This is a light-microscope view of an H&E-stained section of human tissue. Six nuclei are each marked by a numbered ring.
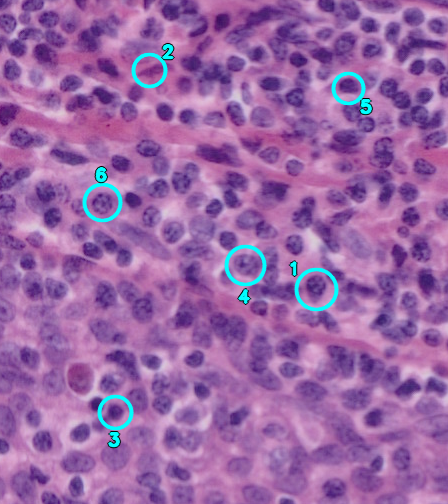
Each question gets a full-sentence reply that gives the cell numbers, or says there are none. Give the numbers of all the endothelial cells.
The nucleus labelled 2 alone belongs to an endothelial cell; the other marked nuclei do not.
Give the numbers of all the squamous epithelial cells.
Response: cell 3 is a squamous epithelial cell, and no other numbered cell is.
